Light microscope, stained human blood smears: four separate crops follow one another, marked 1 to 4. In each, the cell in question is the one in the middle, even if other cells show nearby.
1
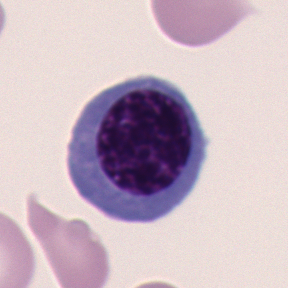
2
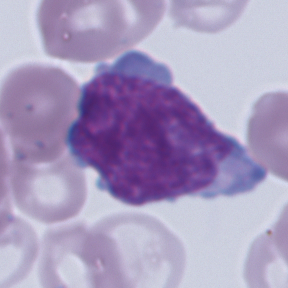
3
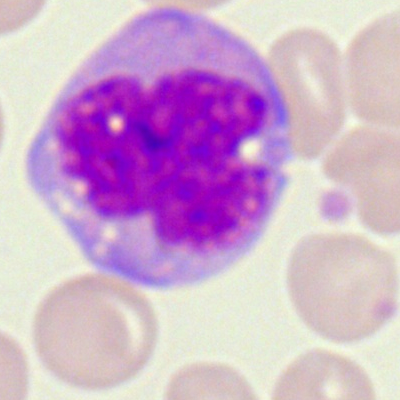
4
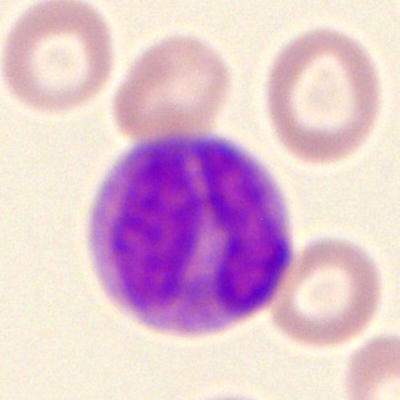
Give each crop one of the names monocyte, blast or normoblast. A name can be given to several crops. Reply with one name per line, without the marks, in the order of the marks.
normoblast
blast
monocyte
monocyte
